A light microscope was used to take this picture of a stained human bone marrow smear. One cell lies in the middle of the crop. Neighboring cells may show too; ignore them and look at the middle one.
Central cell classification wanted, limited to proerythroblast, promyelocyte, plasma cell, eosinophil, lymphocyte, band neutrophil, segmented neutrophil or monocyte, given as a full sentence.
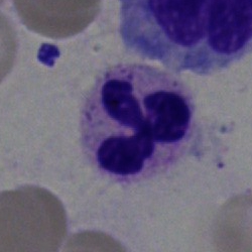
The cell sitting right in the middle is a segmented neutrophil.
